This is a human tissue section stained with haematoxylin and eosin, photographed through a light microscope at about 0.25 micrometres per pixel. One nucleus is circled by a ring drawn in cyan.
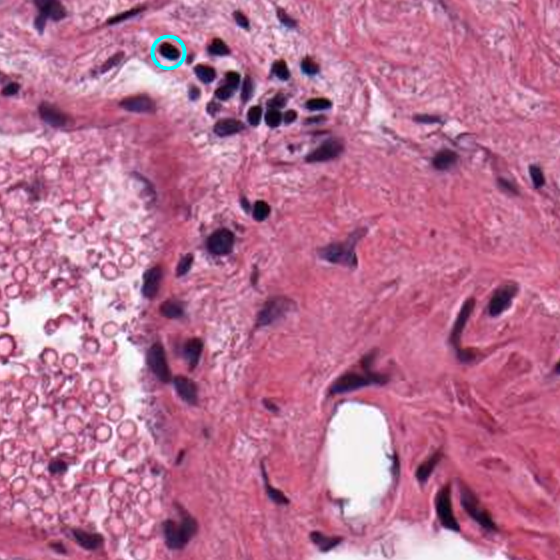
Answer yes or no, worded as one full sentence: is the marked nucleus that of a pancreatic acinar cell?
No, the marked nucleus is assigned not to a pancreatic acinar cell but to a supporting cell.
